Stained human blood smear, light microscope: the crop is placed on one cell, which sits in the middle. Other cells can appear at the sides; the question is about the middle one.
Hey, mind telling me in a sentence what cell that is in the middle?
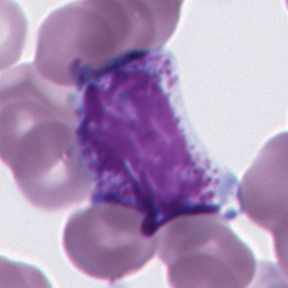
As for the cell in the middle, it is a myelocyte.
